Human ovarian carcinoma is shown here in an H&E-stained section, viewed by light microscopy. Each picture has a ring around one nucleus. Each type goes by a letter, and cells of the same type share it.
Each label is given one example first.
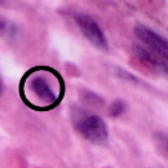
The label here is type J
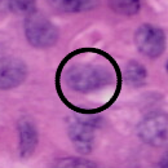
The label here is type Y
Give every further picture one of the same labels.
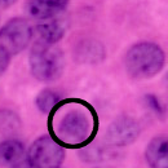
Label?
type Y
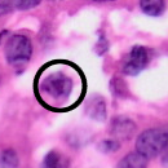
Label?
type Y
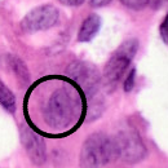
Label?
type Y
